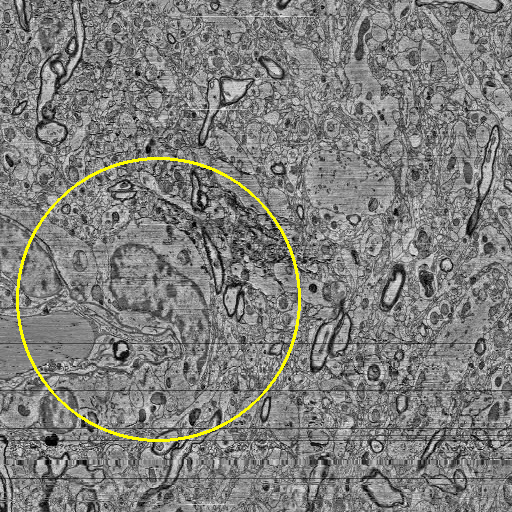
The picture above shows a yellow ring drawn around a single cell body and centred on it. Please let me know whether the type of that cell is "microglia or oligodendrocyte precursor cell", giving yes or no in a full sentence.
Yes, that type fits the cell at the centre of the ring above.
